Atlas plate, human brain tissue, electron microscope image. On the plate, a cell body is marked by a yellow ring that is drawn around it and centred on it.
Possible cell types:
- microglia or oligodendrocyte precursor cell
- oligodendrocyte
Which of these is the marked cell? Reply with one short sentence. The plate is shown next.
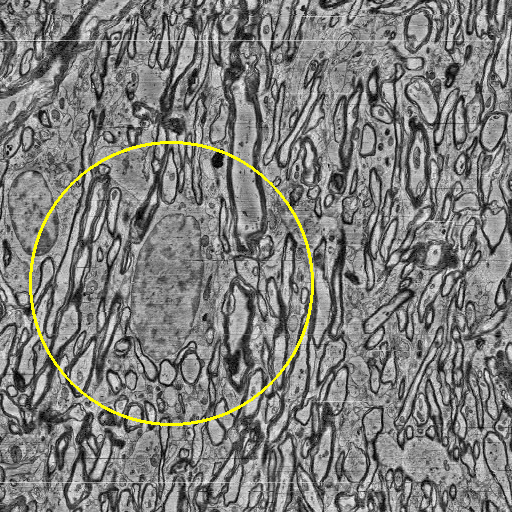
The marked cell is an oligodendrocyte.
